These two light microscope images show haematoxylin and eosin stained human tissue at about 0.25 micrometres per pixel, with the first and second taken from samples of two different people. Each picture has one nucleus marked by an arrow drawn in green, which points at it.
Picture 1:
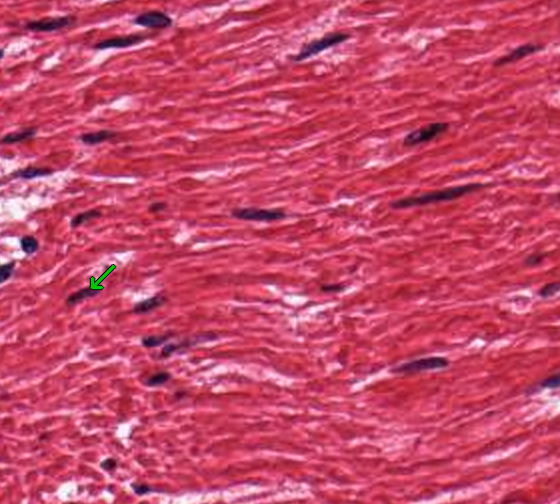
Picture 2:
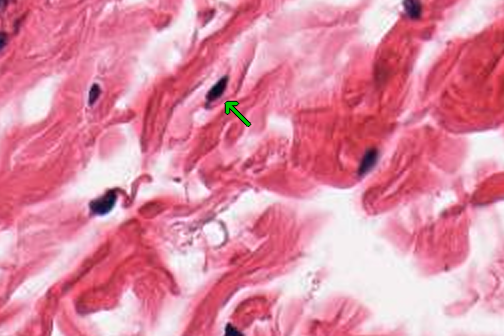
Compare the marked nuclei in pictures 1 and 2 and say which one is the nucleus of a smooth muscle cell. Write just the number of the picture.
1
